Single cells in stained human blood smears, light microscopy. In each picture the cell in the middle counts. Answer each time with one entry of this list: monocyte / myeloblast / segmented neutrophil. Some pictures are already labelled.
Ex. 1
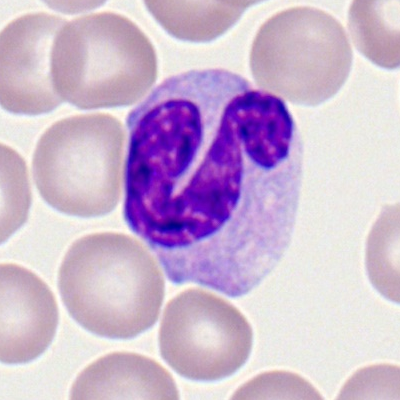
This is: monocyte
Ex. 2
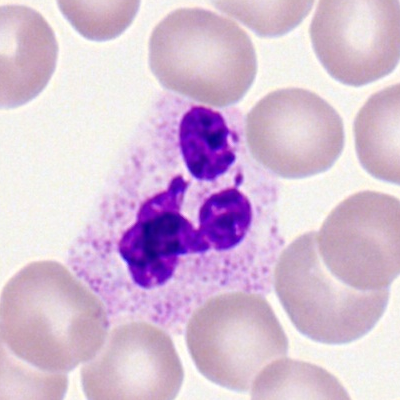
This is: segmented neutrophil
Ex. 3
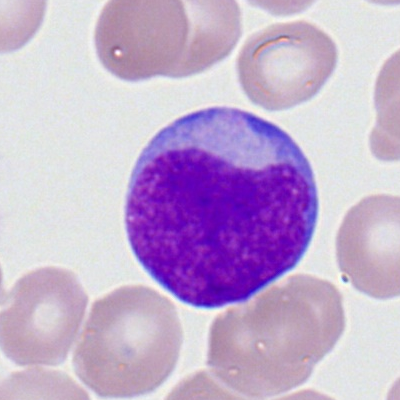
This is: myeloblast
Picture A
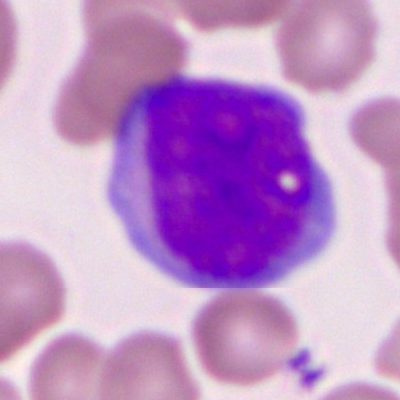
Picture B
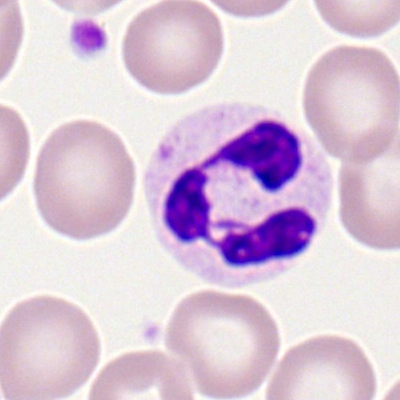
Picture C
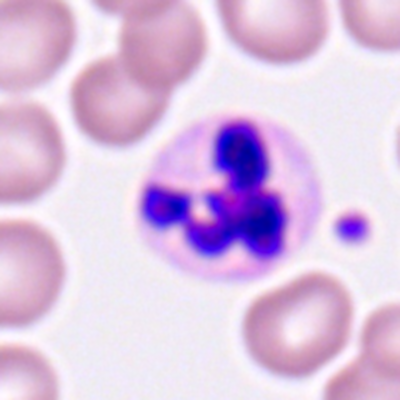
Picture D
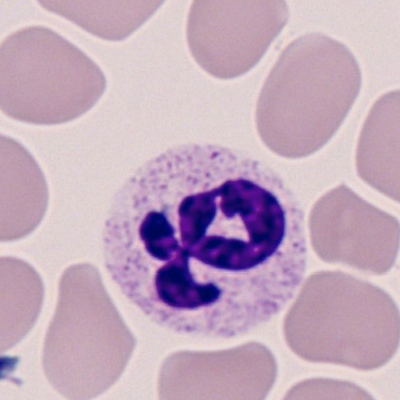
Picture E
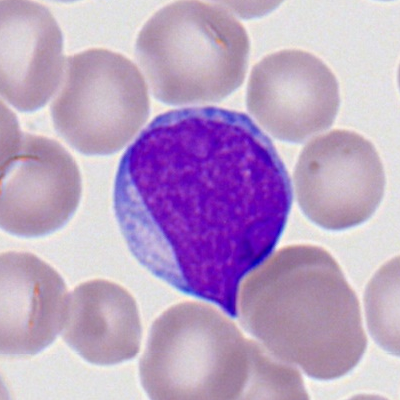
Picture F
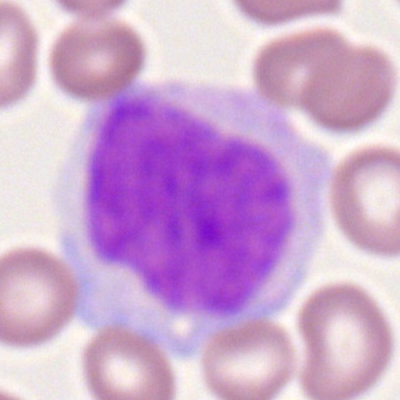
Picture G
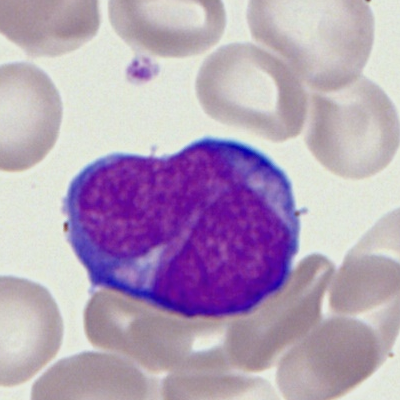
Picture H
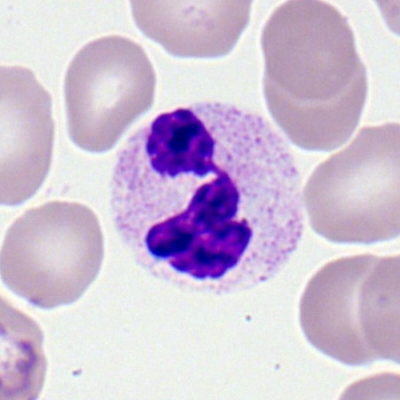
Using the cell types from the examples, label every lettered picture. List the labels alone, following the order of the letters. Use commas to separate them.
myeloblast, segmented neutrophil, segmented neutrophil, segmented neutrophil, myeloblast, monocyte, myeloblast, segmented neutrophil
